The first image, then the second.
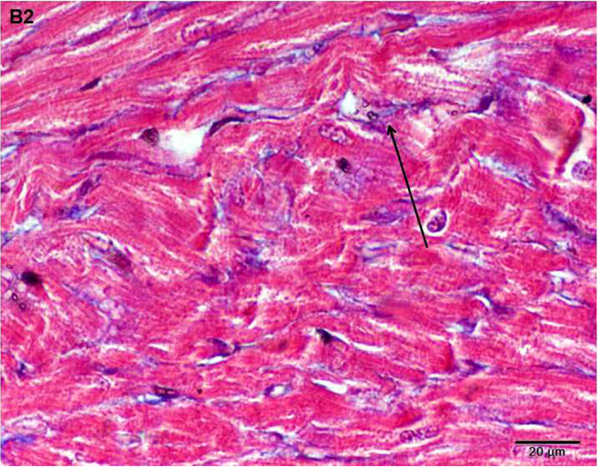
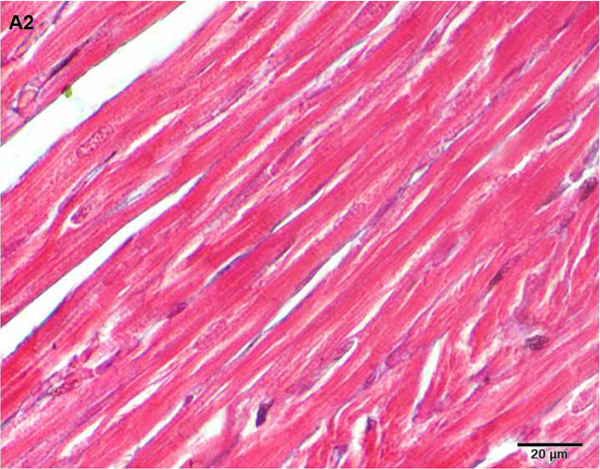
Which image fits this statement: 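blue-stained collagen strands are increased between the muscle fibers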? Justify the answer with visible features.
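The first image. First image: bluish-purple strands run between irregular red muscle fibers. Second image: red muscle fibers lie parallel with little blue material between them.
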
